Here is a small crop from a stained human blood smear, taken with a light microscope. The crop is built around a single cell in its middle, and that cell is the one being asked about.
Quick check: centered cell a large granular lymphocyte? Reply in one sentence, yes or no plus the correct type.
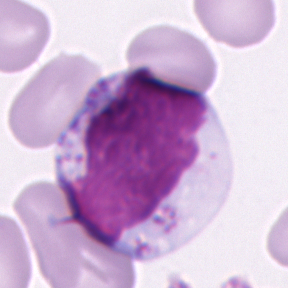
Yes, the central element of the crop is a large granular lymphocyte.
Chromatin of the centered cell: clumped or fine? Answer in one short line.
The key point is fine chromatin with no coarse clumps.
